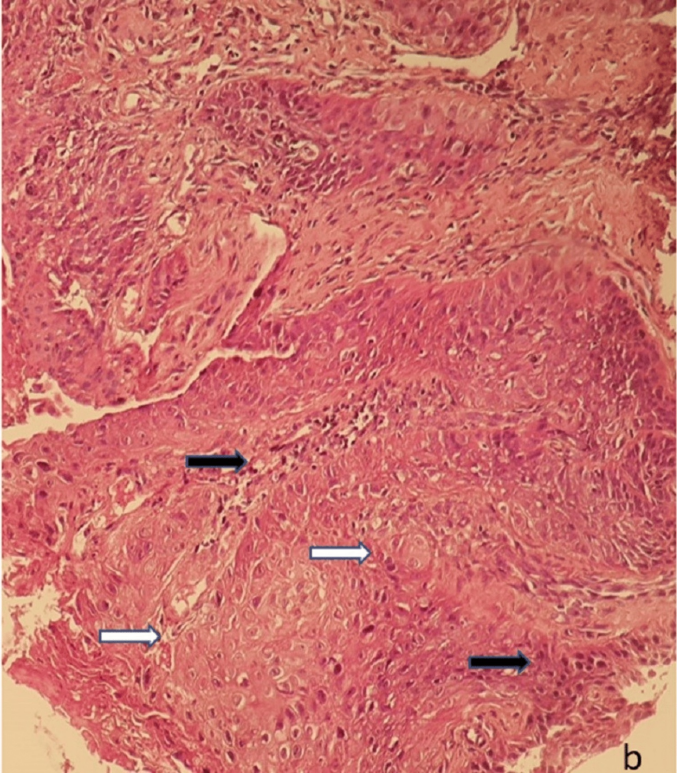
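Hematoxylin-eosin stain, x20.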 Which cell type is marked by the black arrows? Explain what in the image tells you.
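Basaloid cells. The arrowed cells have dark, crowded nuclei with scant cytoplasm. They lie at the edge of a cell nest.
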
